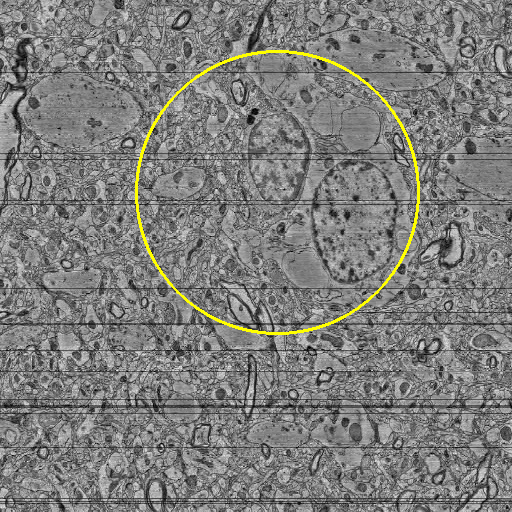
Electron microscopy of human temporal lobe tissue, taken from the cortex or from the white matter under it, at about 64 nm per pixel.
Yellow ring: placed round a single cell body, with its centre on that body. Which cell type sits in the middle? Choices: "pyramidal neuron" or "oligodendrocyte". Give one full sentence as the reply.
It is an oligodendrocyte whose cell body sits at the centre of the yellow ring.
